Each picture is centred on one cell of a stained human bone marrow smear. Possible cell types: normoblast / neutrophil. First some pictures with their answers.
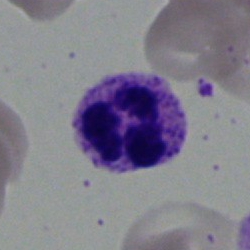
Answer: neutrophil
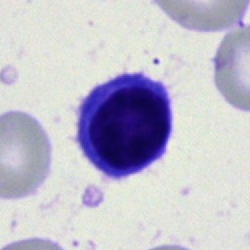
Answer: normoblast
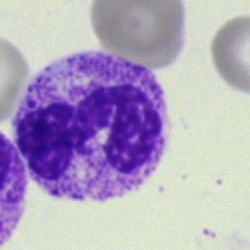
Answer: neutrophil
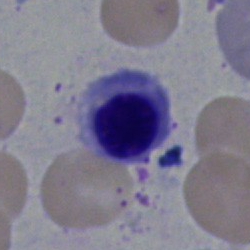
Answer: normoblast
